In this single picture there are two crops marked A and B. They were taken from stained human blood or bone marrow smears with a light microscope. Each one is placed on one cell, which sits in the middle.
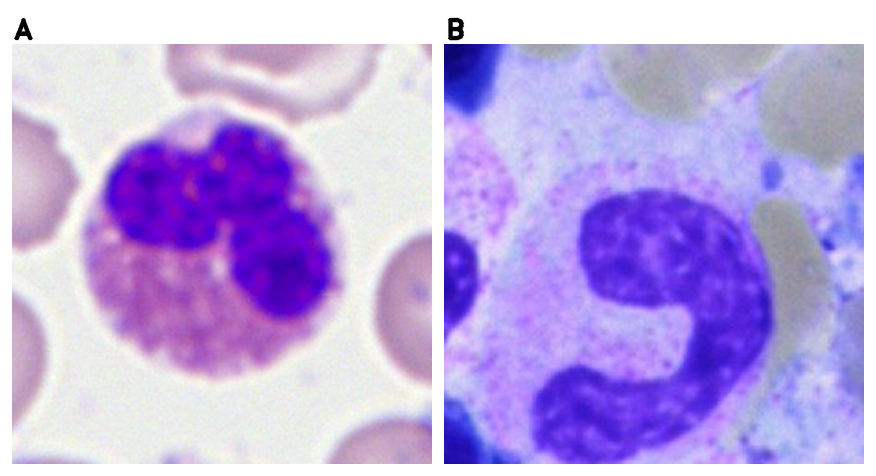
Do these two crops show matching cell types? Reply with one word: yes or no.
no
